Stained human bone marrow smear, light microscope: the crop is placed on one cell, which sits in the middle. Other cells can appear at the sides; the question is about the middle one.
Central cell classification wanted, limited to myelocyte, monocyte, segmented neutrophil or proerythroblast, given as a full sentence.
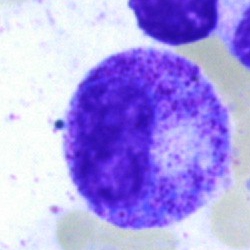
The cell around which this crop is centred is a myelocyte.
